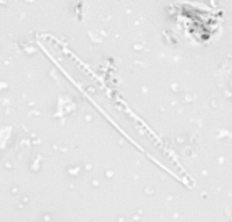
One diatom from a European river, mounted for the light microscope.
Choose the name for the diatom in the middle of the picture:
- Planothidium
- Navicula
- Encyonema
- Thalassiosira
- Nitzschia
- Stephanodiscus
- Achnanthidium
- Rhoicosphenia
Nitzschia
